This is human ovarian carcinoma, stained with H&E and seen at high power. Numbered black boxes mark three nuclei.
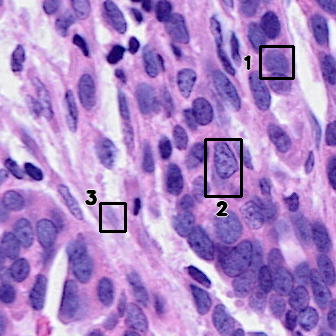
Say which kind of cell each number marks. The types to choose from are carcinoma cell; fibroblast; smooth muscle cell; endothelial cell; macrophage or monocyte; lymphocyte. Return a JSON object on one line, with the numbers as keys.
{"1": "carcinoma cell", "2": "carcinoma cell", "3": "fibroblast"}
